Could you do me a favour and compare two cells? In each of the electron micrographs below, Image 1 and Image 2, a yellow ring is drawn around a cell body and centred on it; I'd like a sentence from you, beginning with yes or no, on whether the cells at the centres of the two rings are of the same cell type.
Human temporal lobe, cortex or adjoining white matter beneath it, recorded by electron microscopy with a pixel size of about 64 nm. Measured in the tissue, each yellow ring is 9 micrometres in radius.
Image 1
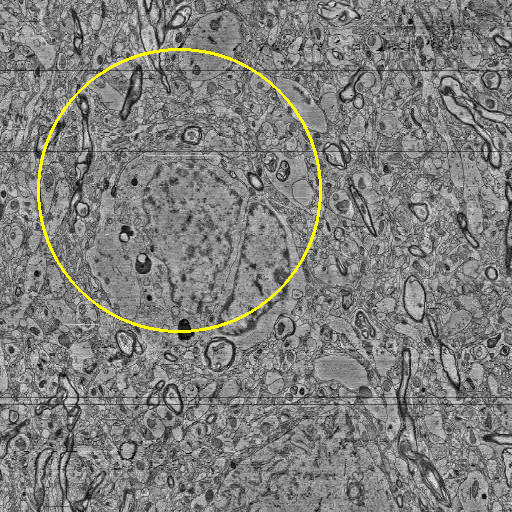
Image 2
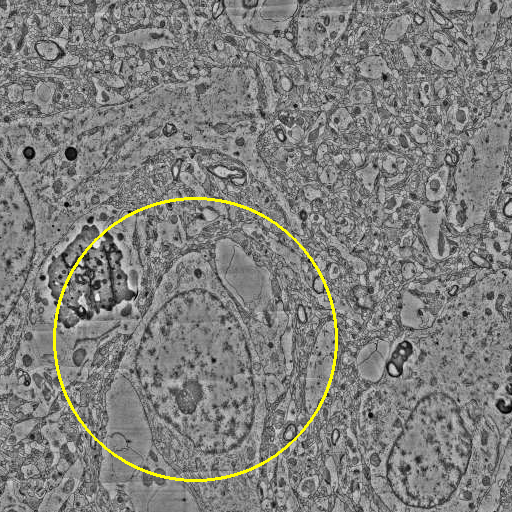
Yes, the two cells are of the same cell type.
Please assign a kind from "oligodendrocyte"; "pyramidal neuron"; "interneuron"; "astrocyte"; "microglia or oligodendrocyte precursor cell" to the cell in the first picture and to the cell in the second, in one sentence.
The cell at the ring centre is an interneuron in both pictures.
